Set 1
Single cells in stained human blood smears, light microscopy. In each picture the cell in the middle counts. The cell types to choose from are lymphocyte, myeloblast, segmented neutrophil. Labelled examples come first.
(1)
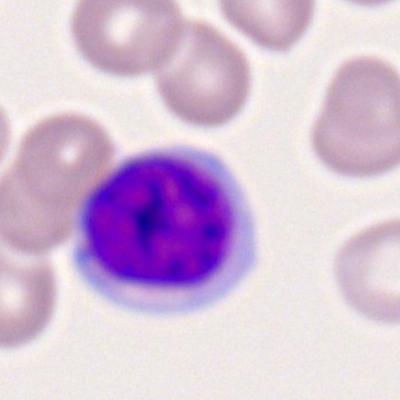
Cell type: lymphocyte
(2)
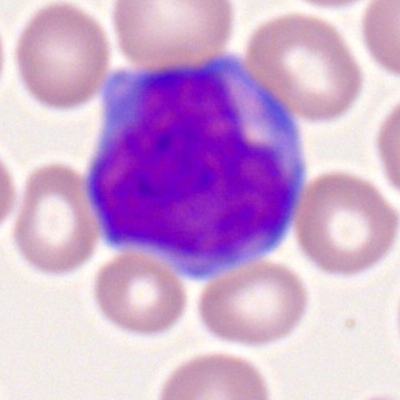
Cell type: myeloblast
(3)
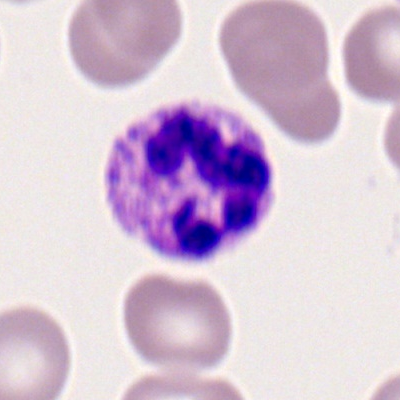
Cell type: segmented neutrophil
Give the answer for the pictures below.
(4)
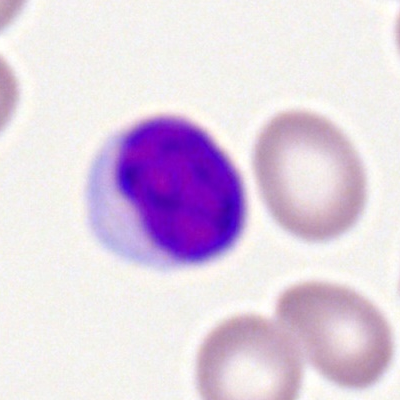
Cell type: lymphocyte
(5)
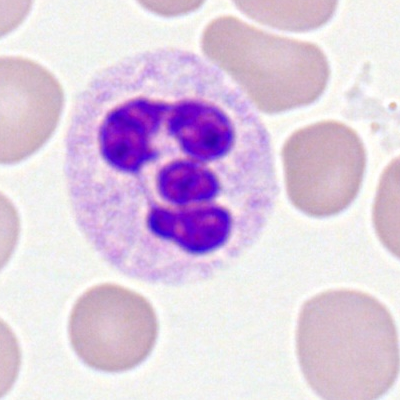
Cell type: segmented neutrophil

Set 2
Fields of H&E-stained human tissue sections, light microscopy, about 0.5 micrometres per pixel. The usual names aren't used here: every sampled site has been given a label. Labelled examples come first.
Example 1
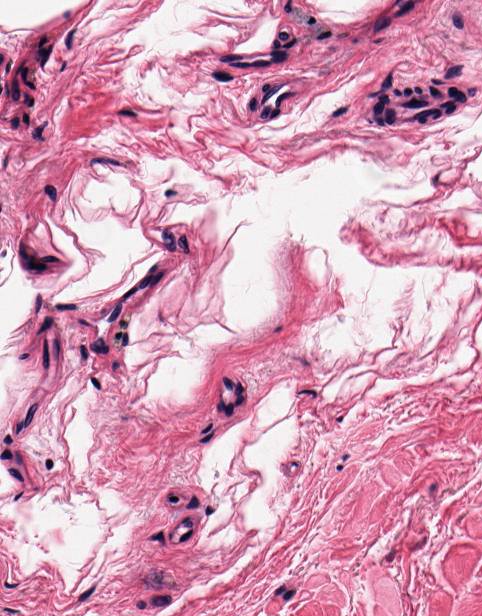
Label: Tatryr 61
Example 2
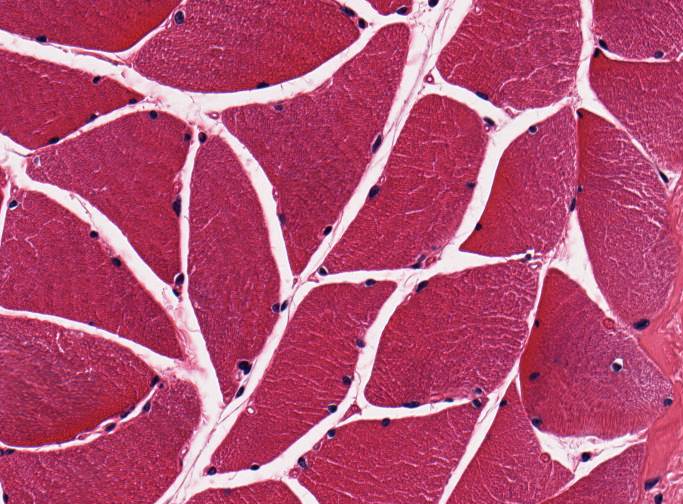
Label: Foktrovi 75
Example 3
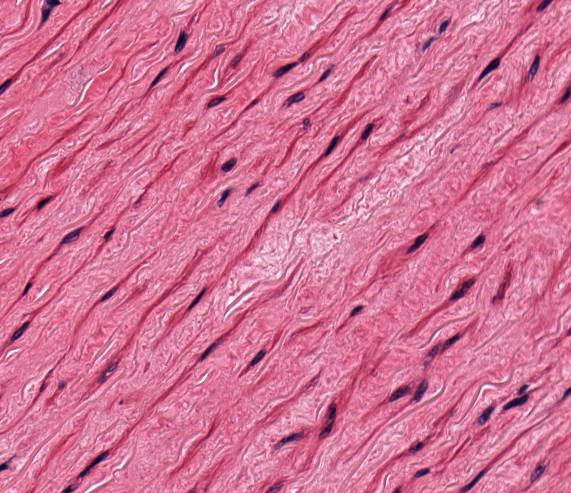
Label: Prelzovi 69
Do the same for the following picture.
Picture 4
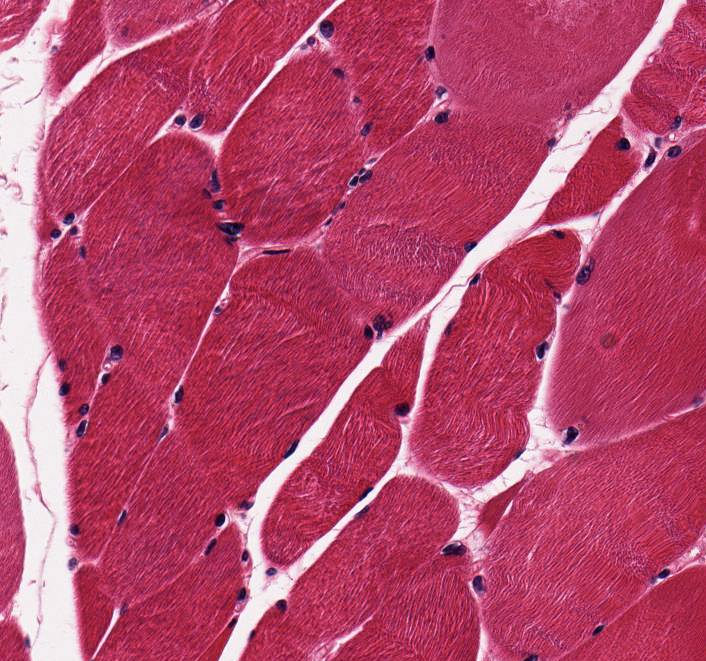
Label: Foktrovi 75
